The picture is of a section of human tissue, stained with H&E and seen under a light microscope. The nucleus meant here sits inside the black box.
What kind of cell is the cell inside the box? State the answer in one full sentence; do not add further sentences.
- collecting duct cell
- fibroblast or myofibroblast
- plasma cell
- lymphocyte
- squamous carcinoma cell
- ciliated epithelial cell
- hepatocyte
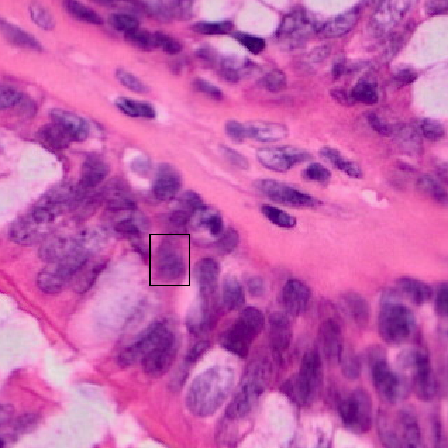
As classified here, the cell inside the box is a ciliated epithelial cell.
